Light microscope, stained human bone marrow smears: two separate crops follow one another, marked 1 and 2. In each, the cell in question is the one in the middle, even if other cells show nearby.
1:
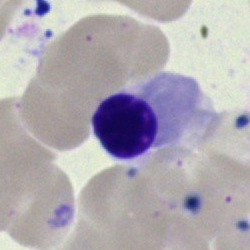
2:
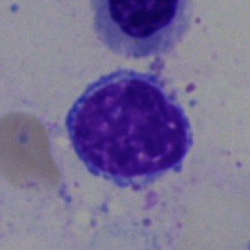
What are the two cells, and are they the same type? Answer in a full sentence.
No, for crop 1 the cell is a normoblast, and for crop 2 it is a lymphocyte.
